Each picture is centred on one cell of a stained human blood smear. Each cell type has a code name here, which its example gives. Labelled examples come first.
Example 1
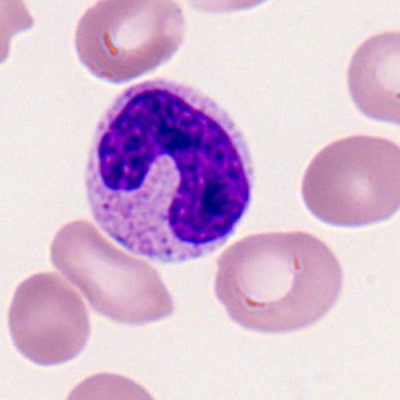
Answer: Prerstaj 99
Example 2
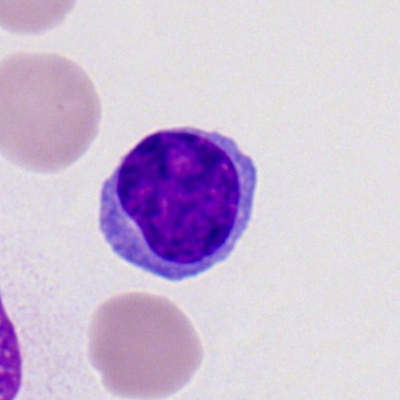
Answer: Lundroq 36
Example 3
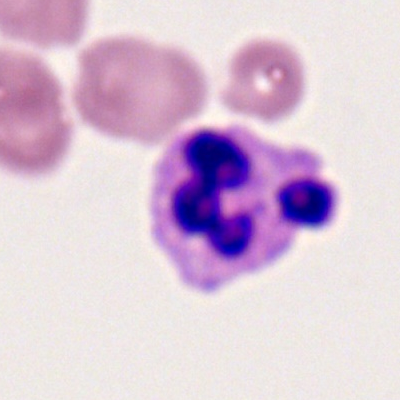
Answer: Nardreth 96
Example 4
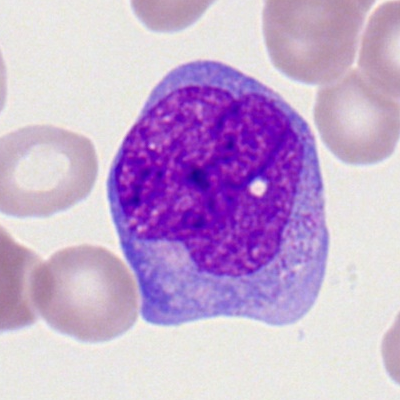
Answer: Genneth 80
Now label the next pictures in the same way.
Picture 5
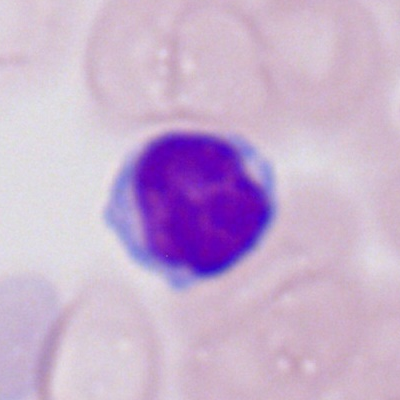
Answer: Lundroq 36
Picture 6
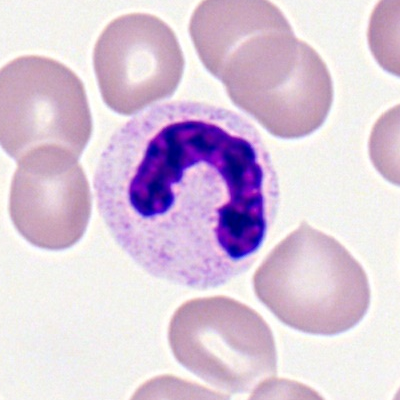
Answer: Prerstaj 99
